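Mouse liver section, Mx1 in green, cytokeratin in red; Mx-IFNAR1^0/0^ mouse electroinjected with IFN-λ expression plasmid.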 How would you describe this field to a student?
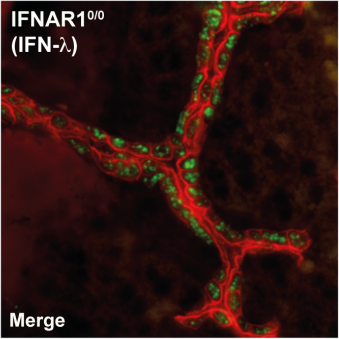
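The ducts form narrow, branching, Y-shaped cords crossing a dark, unstained parenchyma. Cells along these cords carry green granular signal in their nuclear region. The surrounding parenchyma shows little or no green signal.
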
